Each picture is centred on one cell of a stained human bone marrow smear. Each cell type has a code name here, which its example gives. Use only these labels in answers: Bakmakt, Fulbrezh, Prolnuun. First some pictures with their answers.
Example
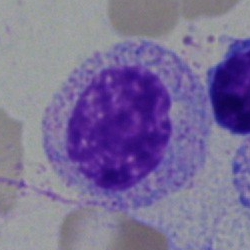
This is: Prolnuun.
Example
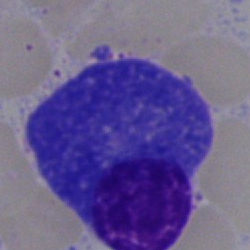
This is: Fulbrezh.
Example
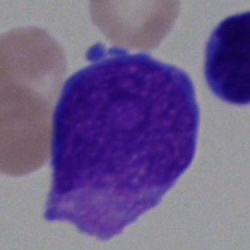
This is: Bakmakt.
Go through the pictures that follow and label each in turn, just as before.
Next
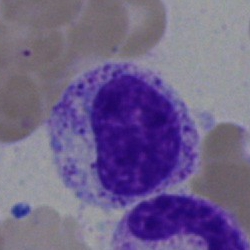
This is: Prolnuun.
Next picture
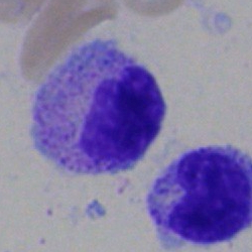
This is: Prolnuun.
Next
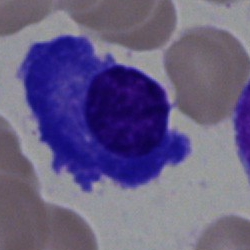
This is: Fulbrezh.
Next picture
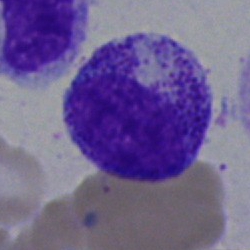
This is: Prolnuun.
